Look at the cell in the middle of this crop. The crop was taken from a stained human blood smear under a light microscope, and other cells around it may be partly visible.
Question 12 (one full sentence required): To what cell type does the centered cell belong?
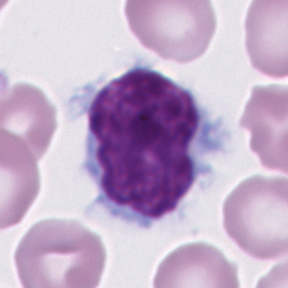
The centrally located cell in the crop is a hairy cell.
